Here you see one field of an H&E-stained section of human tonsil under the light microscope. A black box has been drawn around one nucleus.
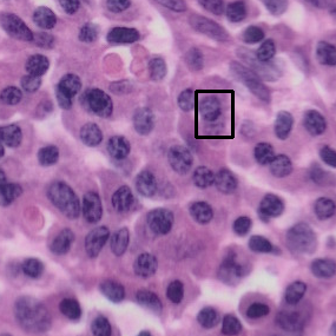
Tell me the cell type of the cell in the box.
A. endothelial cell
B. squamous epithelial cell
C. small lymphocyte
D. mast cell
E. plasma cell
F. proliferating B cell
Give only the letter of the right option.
E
